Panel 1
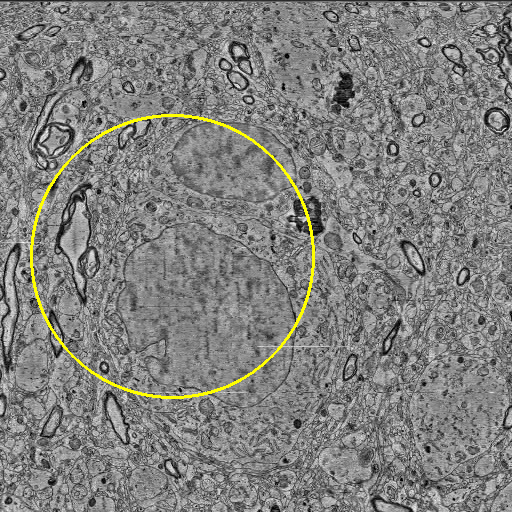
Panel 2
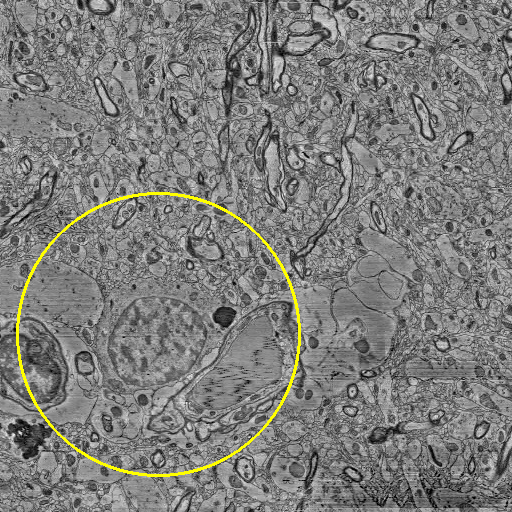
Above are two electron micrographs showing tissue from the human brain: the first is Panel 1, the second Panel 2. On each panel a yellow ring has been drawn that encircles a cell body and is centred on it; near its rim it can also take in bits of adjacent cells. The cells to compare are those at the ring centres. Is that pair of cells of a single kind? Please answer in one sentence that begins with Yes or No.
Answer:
No, the ring-centred cells of Panel 1 and Panel 2 belong to two kinds.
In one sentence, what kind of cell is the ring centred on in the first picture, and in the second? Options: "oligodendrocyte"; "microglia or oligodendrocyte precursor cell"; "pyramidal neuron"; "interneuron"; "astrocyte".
The cell at the centre of the second ring is an oligodendrocyte; the first ring's cell is an interneuron.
